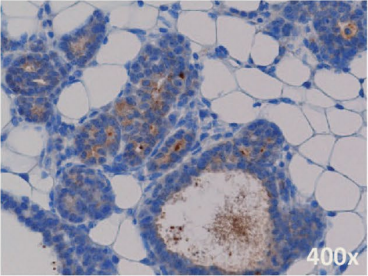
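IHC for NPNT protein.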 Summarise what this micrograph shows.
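The nests are several cell layers thick, with densely packed, blue-stained nuclei and little cytoplasm, and many enclose small central lumens. Light brown staining lies along the luminal edges and in the lumens of these nests. One large nest at the lower right has a wide central space filled with finely granular brown material, surrounded by a rim of crowded epithelial cells. Thin strands of stroma separate the nests from the surrounding fat cells.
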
